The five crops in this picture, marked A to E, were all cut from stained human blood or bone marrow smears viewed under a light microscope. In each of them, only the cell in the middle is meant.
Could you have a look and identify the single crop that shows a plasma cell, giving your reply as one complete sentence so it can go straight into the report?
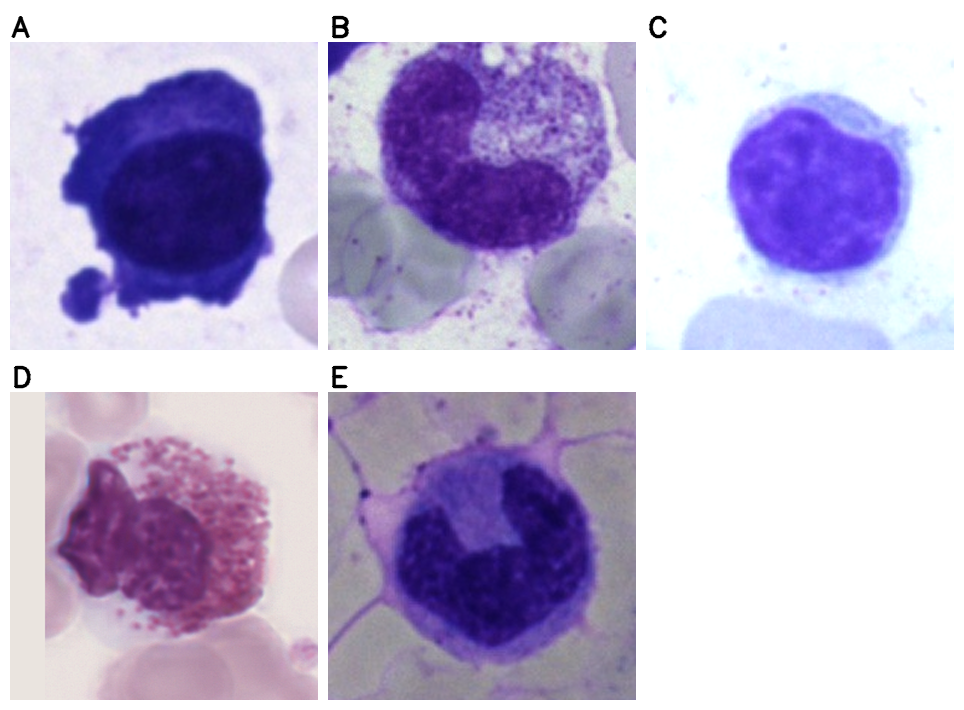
Crop A matches the request, showing a plasma cell.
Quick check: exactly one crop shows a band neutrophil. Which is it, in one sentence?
The crop with a band neutrophil at its center is crop B.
